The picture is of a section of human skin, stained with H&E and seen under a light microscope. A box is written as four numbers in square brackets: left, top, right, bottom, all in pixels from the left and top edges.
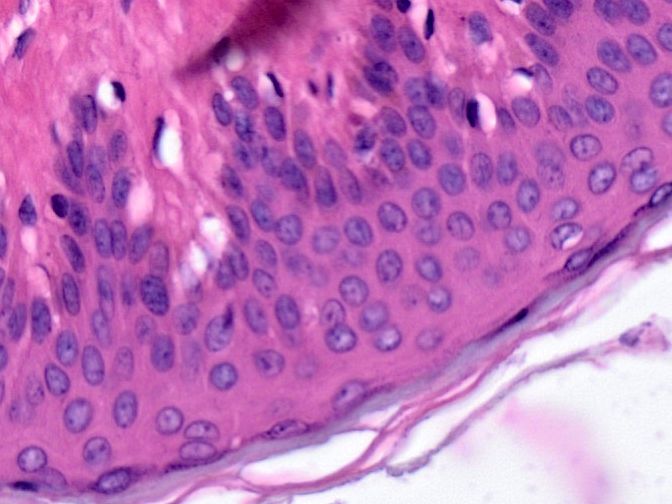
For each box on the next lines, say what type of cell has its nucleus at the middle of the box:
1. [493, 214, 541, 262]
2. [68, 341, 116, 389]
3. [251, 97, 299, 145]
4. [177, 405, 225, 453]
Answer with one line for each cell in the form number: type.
1: suprabasal keratinocyte
2: suprabasal keratinocyte
3: basal keratinocyte
4: suprabasal keratinocyte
